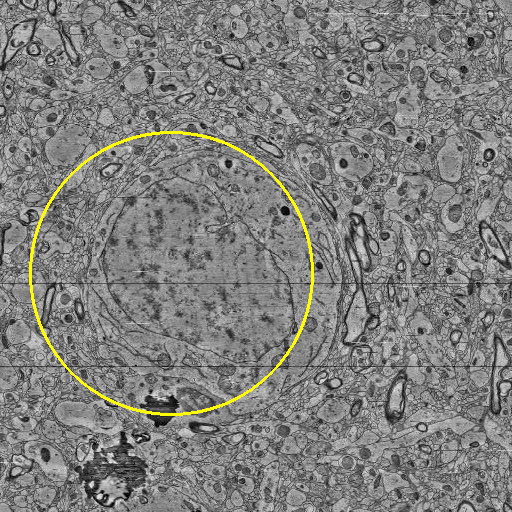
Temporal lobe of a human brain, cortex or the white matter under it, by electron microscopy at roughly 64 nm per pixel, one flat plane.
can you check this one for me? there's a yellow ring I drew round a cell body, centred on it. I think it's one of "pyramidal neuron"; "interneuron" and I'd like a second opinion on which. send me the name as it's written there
pyramidal neuron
